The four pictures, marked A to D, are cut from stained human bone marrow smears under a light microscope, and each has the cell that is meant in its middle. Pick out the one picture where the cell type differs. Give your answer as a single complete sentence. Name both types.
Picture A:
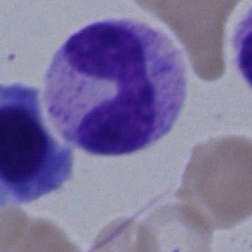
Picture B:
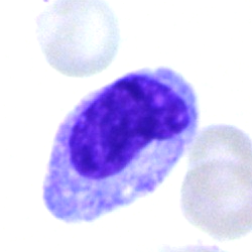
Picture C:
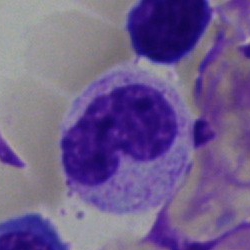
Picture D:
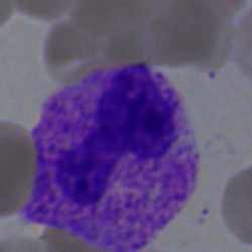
The different one is picture B; it shows a metamyelocyte, whereas all the others show band neutrophils.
